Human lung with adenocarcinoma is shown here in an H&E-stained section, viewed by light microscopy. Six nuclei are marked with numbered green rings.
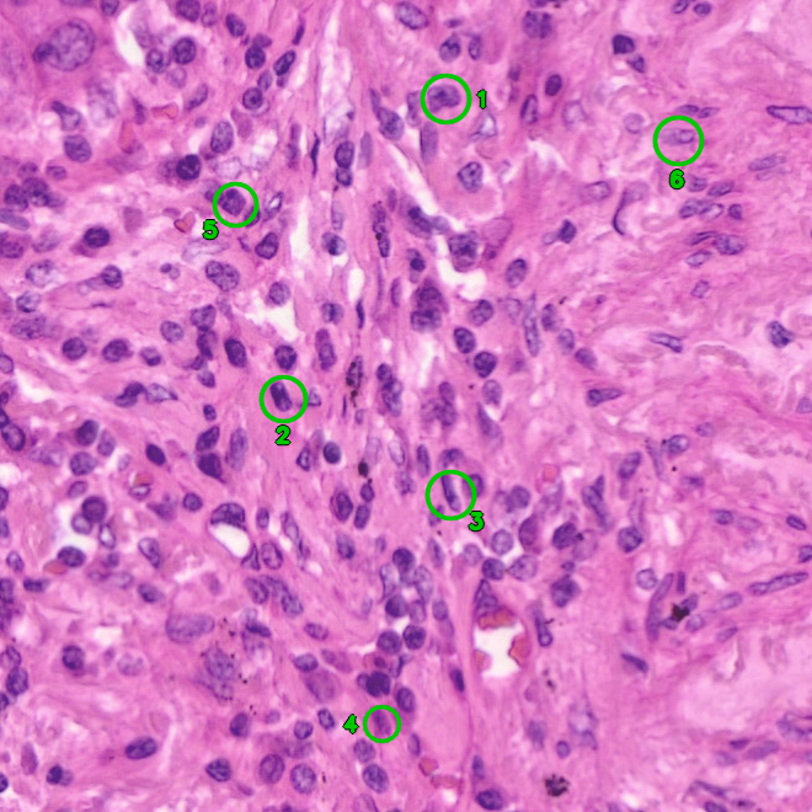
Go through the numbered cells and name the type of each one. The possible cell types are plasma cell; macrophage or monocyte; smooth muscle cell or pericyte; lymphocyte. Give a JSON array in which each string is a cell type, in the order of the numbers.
["lymphocyte", "lymphocyte", "lymphocyte", "plasma cell", "lymphocyte", "smooth muscle cell or pericyte"]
